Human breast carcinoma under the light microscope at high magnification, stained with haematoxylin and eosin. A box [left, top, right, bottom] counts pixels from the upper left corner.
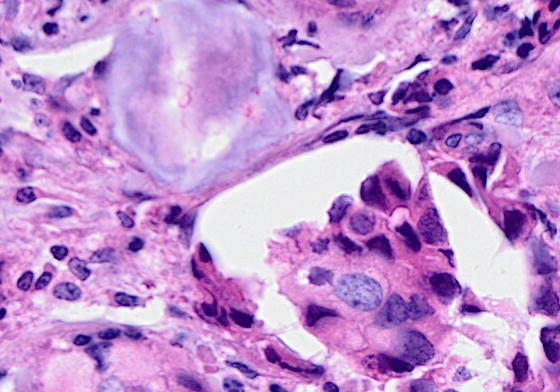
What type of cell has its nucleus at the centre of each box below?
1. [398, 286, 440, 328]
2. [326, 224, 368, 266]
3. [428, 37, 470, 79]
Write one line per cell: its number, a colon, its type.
1: carcinoma cell
2: carcinoma cell
3: lymphocyte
